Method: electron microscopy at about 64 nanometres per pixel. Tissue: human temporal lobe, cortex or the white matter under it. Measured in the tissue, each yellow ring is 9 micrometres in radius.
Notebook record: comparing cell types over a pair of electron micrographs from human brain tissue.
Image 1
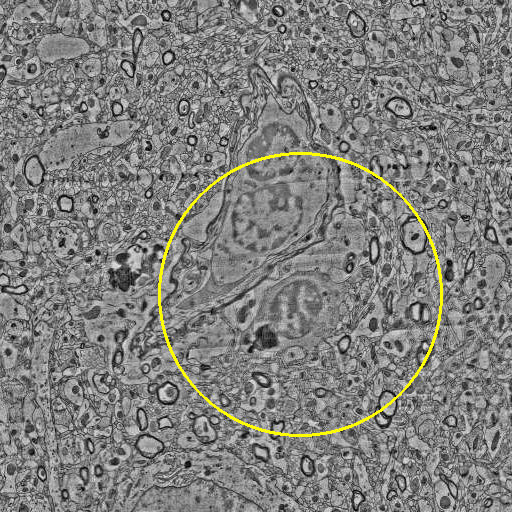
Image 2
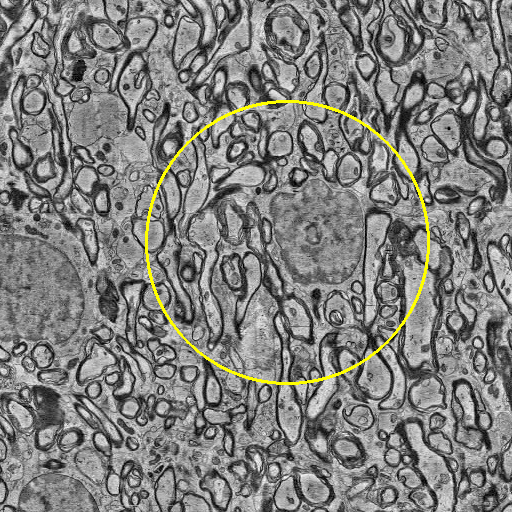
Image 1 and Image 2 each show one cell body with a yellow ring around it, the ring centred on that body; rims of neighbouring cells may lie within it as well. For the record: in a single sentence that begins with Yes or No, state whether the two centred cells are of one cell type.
Yes, one cell type is shared by the centred cells of Image 1 and Image 2.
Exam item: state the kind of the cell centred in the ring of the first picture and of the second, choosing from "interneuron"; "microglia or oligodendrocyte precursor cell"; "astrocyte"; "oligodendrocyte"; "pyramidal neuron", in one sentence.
Each of the two rings is centred on an oligodendrocyte.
